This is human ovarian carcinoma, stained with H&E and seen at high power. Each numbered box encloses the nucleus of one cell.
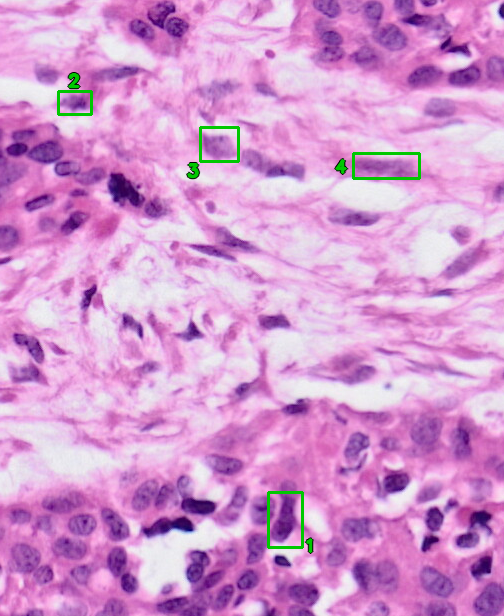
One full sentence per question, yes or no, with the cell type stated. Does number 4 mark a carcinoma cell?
No, the identification of cell 4 as a carcinoma cell is incorrect; it is a fibroblast.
